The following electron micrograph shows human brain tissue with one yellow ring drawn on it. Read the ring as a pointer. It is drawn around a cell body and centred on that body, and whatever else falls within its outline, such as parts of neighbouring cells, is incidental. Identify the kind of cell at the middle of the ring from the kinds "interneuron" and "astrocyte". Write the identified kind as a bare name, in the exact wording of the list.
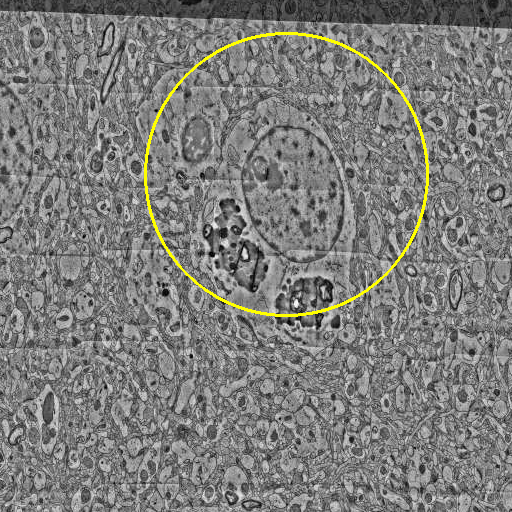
astrocyte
